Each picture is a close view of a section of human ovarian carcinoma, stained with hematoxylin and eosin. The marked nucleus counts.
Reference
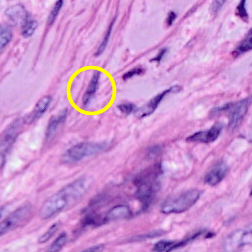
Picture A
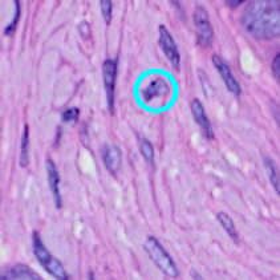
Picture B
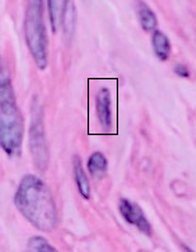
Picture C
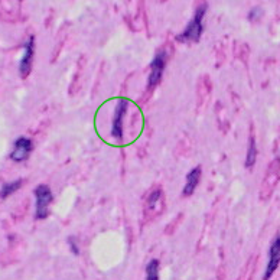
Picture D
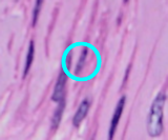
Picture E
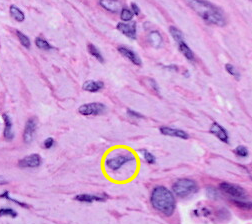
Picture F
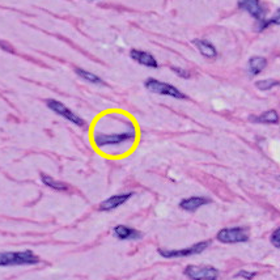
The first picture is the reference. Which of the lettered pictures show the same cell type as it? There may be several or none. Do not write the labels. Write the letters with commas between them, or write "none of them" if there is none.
A, C, D, E, F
